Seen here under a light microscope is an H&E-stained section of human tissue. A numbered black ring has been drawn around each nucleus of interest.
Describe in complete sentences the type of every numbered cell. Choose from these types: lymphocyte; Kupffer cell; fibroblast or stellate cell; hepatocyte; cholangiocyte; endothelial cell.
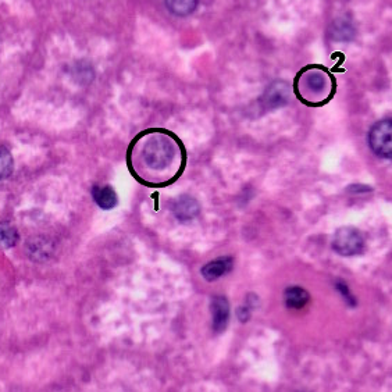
Cell 1 is a hepatocyte. Cell 2 is a lymphocyte.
